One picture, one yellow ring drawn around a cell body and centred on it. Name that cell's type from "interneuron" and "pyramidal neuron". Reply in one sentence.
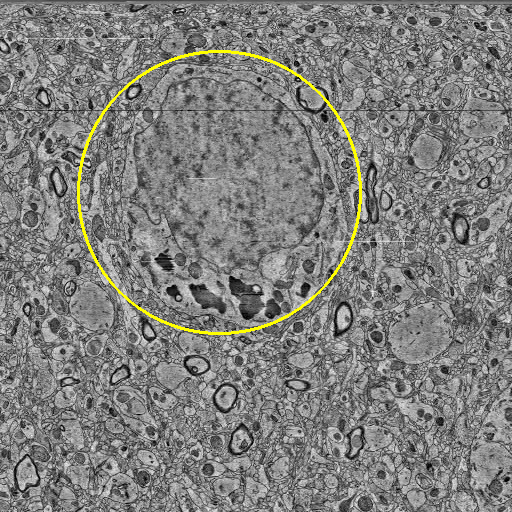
Centred in the ring is an interneuron.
